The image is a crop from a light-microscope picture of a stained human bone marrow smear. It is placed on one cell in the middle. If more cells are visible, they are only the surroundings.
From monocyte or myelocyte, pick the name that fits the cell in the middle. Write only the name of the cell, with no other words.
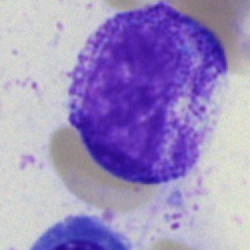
myelocyte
